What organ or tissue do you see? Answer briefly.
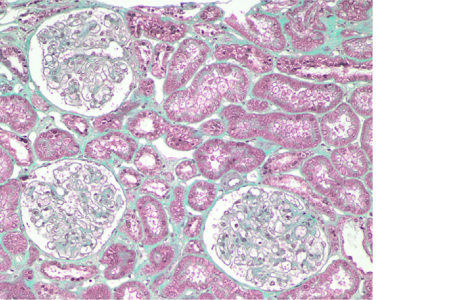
Kidney.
